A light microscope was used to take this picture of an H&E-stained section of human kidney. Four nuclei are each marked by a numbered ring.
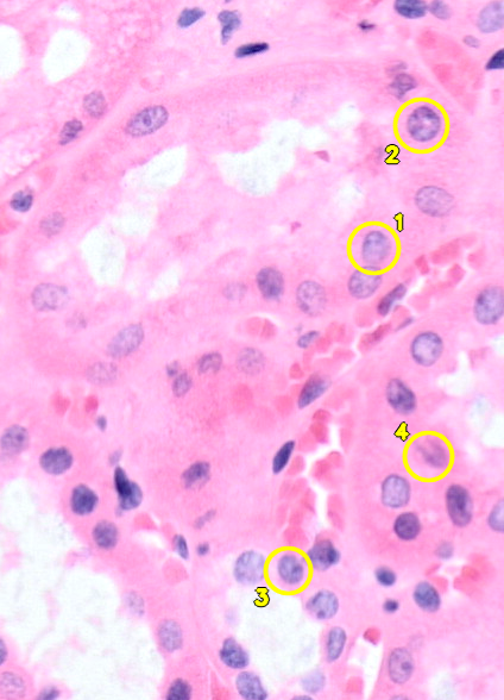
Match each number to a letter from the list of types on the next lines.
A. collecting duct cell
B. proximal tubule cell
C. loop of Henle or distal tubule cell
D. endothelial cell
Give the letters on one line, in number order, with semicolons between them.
B; B; C; B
